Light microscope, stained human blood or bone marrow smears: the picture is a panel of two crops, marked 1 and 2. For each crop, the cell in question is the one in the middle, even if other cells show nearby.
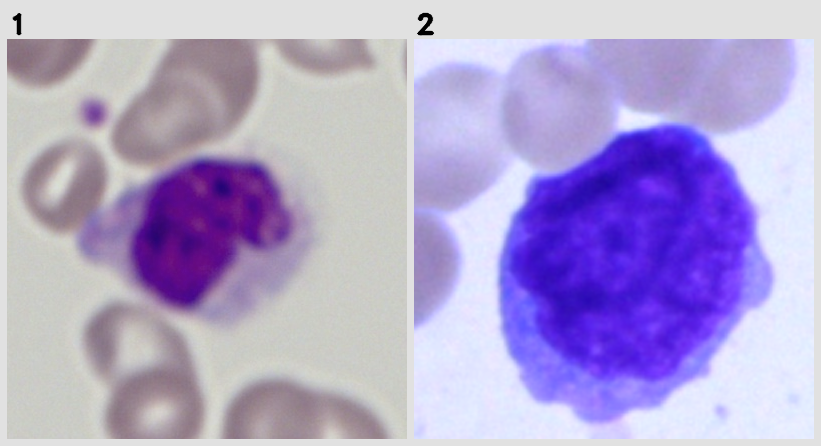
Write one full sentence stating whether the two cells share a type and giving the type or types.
No, crop 1 carries a monocyte and crop 2 carries a blast.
